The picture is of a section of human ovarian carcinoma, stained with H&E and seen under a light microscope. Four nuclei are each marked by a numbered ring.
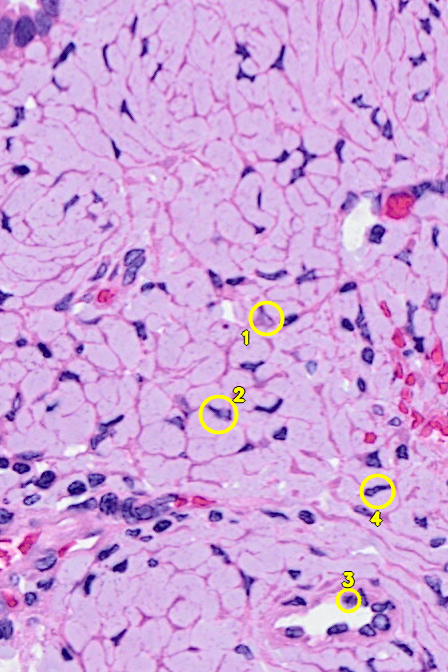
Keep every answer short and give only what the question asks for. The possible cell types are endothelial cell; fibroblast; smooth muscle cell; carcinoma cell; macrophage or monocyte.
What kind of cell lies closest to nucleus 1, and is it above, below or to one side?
a macrophage or monocyte; to the right of nucleus 1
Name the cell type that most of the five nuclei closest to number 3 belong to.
endothelial cell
